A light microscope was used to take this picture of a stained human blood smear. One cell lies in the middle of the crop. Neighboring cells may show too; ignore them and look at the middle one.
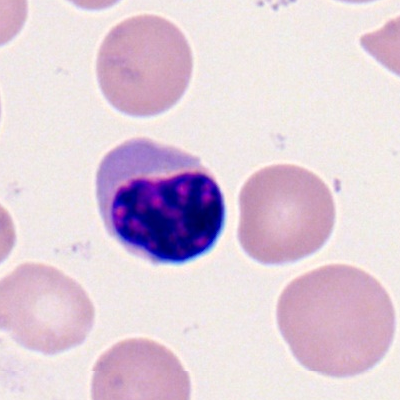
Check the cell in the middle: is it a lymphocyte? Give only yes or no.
no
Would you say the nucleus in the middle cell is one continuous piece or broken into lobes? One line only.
Round, oval or kidney-shaped, the nucleus is one compact mass.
